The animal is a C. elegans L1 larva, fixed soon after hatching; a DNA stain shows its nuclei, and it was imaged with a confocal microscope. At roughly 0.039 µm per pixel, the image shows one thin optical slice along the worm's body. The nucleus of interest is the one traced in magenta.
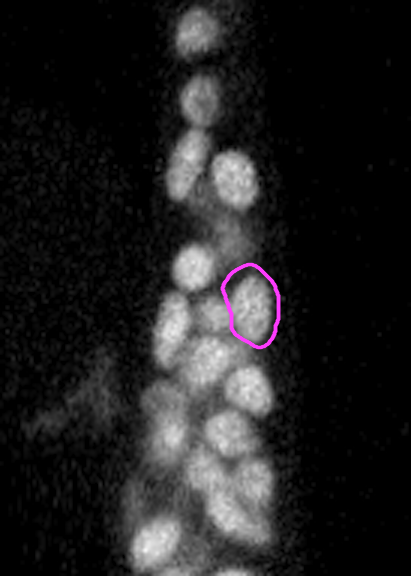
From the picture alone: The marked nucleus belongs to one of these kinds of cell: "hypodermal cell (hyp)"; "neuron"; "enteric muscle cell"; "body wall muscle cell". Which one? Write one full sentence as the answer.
It belongs to a body wall muscle cell.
